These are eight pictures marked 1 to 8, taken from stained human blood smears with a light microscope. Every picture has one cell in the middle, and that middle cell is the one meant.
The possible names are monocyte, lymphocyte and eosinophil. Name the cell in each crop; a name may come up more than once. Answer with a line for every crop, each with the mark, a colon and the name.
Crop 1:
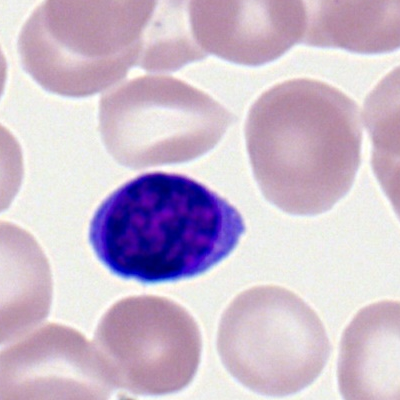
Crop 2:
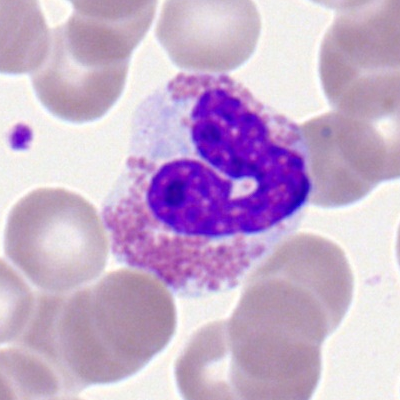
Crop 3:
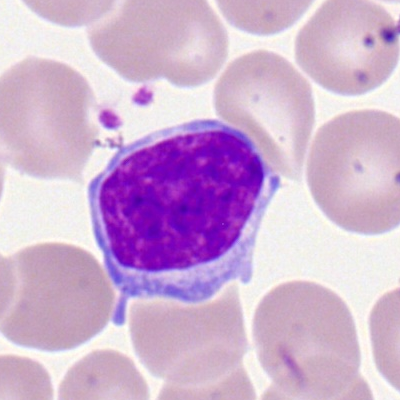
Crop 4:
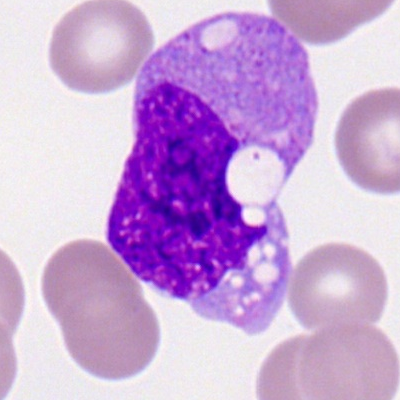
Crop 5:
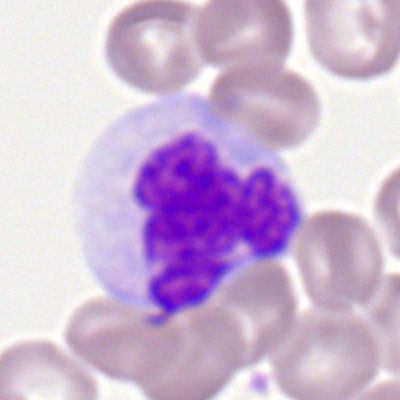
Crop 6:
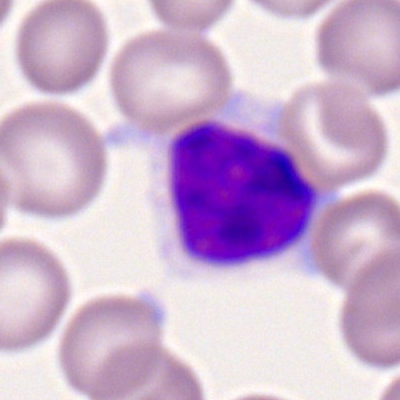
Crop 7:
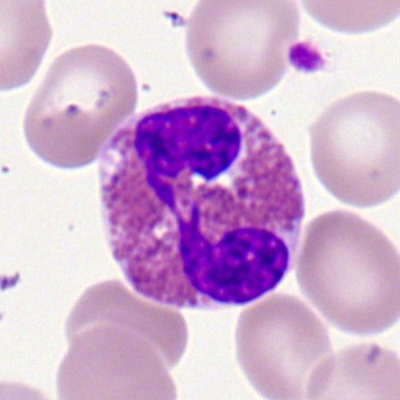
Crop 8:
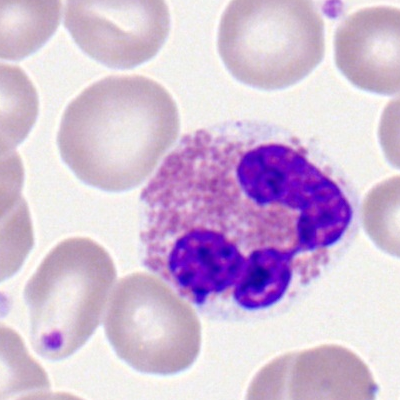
1: lymphocyte
2: eosinophil
3: lymphocyte
4: monocyte
5: monocyte
6: lymphocyte
7: eosinophil
8: eosinophil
